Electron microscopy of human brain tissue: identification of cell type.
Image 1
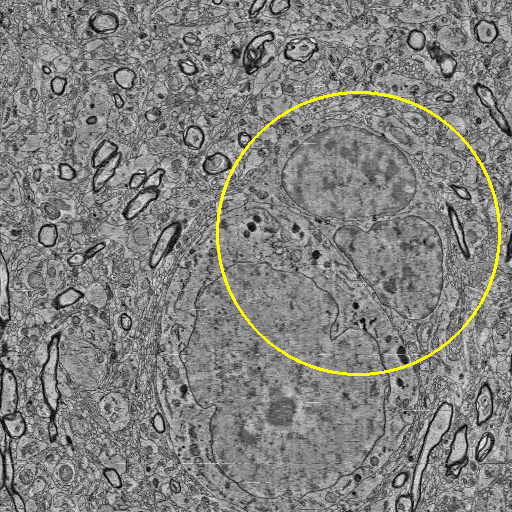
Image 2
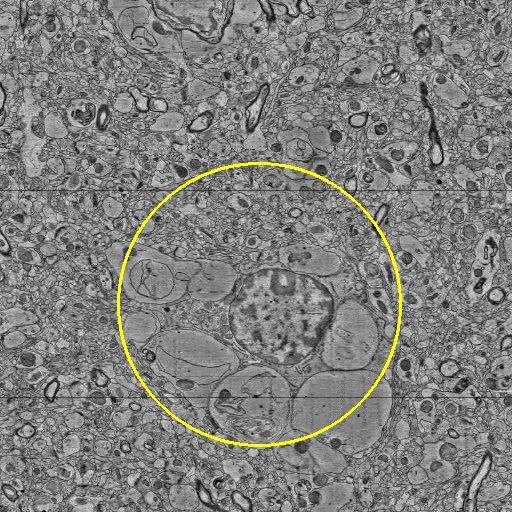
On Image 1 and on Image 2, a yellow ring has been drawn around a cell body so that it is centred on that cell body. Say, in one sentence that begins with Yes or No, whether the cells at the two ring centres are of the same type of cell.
Yes, both cells are the same type of cell.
